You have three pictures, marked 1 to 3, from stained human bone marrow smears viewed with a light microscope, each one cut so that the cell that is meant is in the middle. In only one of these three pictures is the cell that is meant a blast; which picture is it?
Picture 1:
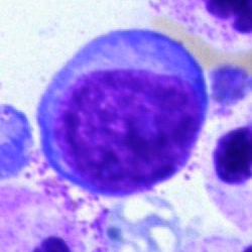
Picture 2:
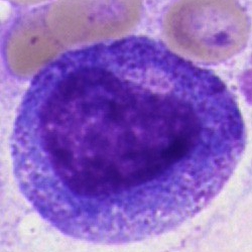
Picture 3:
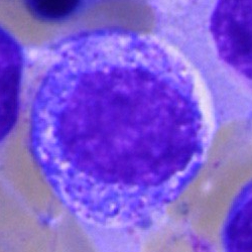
1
